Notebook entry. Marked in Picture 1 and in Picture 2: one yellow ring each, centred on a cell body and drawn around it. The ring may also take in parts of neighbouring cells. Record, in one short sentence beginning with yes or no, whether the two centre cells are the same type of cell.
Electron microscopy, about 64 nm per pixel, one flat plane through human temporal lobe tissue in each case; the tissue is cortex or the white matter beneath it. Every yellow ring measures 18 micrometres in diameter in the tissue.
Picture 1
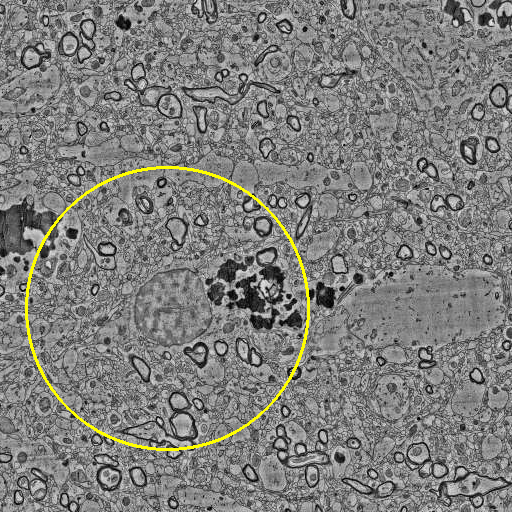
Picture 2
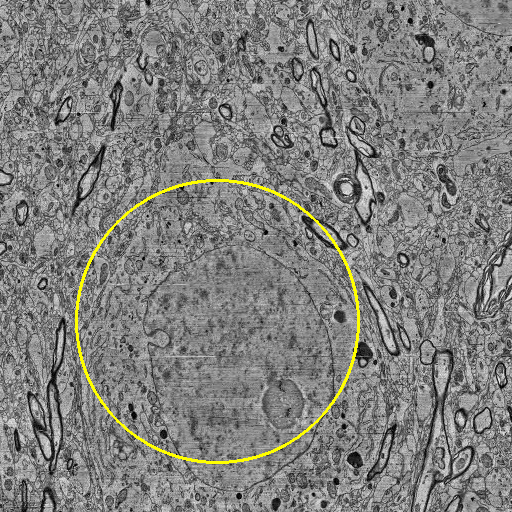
No, they are two types of cell.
